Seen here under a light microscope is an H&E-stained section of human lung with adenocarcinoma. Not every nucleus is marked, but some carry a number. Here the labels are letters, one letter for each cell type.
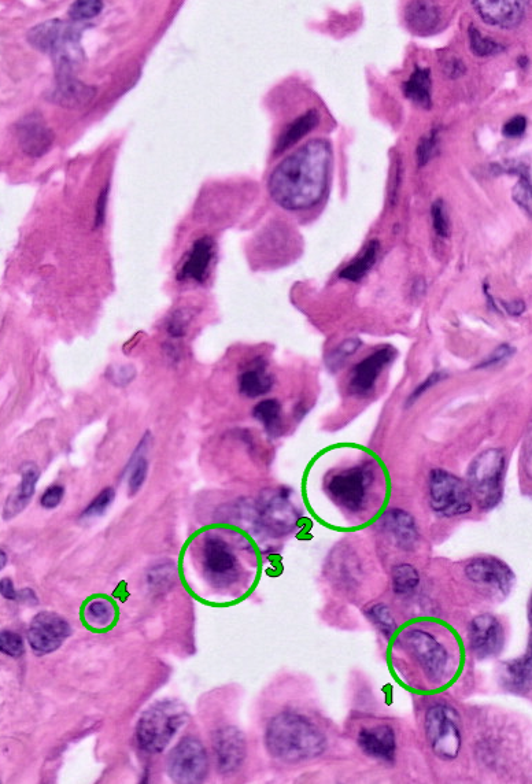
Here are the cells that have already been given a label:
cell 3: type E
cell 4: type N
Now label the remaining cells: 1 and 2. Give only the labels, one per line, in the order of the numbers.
type E
type E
